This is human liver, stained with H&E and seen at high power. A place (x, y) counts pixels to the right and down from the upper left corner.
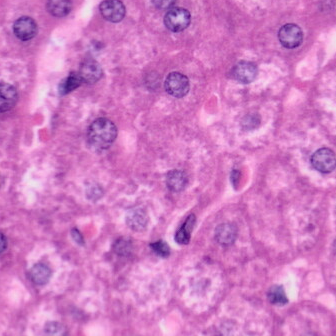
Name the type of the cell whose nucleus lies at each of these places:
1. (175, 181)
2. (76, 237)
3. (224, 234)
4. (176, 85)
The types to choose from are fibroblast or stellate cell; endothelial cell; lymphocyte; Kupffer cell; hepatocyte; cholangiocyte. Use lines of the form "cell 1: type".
cell 1: hepatocyte
cell 2: endothelial cell
cell 3: hepatocyte
cell 4: hepatocyte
